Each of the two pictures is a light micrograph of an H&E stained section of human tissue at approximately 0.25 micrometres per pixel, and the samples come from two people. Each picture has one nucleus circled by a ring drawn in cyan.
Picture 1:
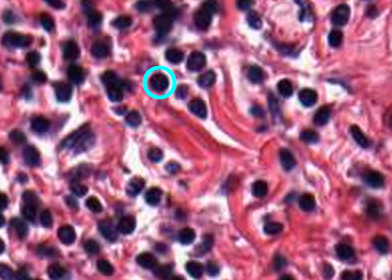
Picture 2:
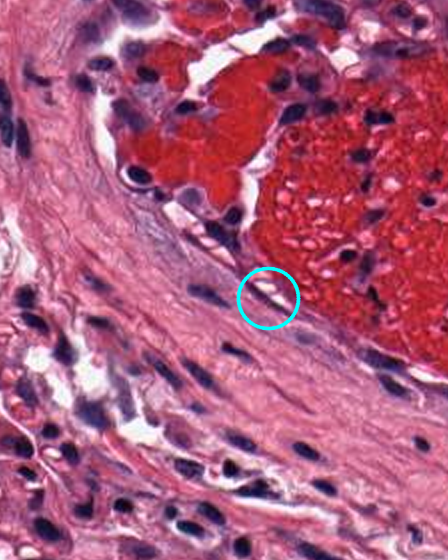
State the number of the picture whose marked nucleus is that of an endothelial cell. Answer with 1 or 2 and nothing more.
2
